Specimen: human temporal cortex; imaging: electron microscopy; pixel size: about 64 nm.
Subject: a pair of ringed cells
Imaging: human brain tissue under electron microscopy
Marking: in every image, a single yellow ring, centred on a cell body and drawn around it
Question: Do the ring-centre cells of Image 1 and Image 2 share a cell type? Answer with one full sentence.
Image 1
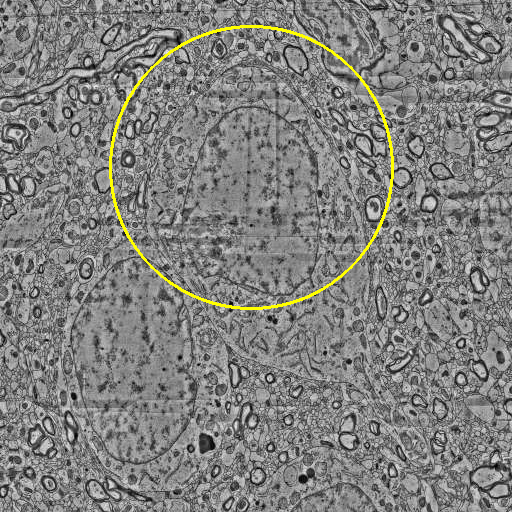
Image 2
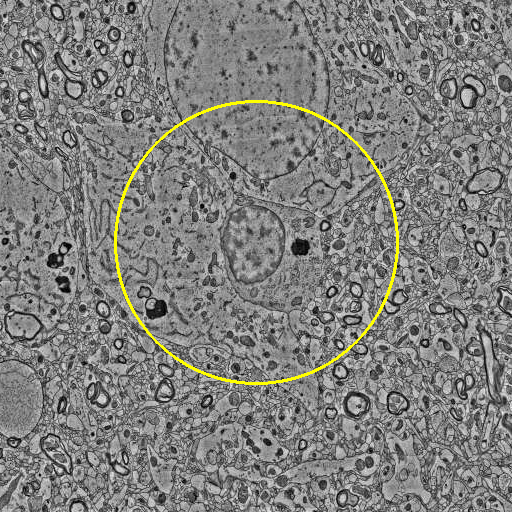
No, at the ring centres in the images sit cells of two separate types.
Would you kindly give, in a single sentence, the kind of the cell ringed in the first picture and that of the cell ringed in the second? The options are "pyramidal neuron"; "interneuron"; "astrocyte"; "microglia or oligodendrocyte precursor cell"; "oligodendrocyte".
The second cell is an oligodendrocyte, and the first cell is a pyramidal neuron.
